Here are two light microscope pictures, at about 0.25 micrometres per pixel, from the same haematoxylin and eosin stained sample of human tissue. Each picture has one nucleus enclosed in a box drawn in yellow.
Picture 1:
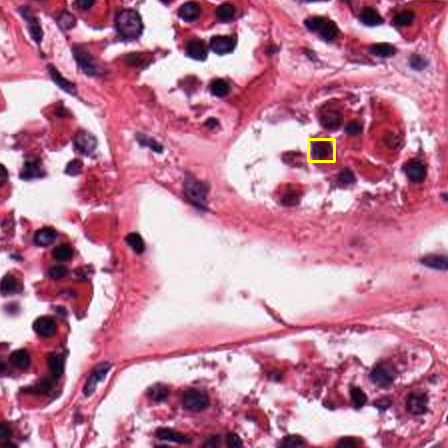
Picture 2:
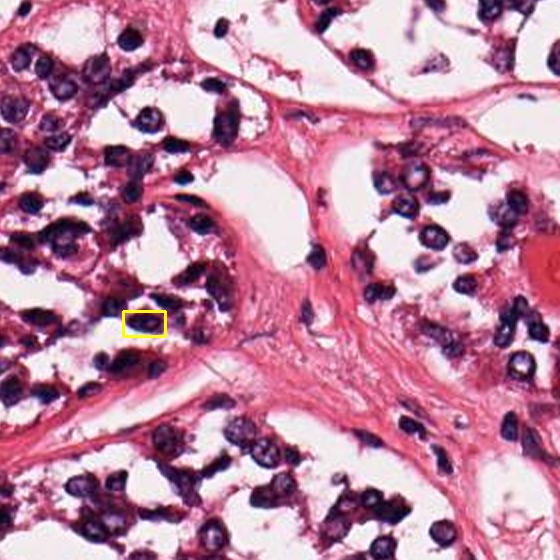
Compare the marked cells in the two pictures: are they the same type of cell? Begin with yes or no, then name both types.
Yes, both are anterior pituitary cells.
